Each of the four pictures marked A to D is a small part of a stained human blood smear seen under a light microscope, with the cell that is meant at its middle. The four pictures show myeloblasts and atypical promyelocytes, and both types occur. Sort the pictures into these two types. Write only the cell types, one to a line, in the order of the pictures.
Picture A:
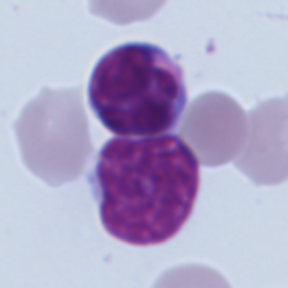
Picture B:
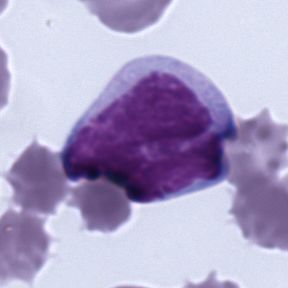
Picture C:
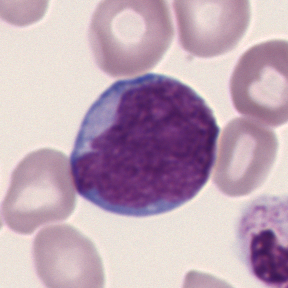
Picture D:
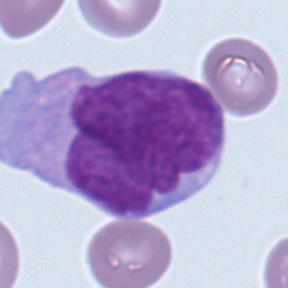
myeloblast
myeloblast
myeloblast
atypical promyelocyte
